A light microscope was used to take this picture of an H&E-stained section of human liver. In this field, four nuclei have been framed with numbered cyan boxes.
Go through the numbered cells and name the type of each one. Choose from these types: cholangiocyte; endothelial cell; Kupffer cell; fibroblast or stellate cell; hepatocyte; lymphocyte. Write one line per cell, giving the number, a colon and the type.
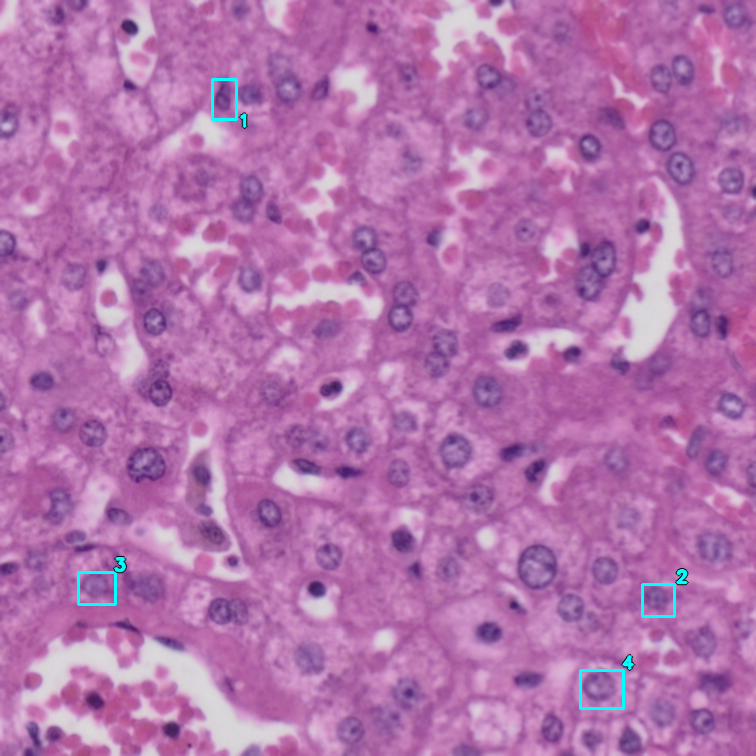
1: Kupffer cell
2: hepatocyte
3: hepatocyte
4: hepatocyte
